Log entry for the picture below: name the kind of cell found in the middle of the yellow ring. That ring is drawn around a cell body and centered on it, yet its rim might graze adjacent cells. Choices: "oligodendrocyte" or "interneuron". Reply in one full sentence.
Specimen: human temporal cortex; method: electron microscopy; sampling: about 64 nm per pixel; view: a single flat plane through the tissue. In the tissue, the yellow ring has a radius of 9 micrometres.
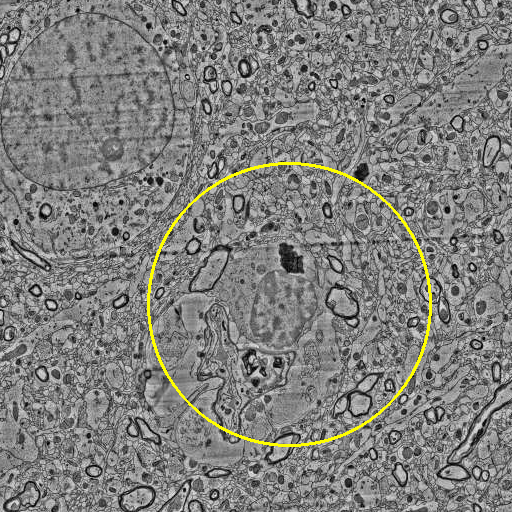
The cell in the middle of the yellow ring in this picture is an oligodendrocyte.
